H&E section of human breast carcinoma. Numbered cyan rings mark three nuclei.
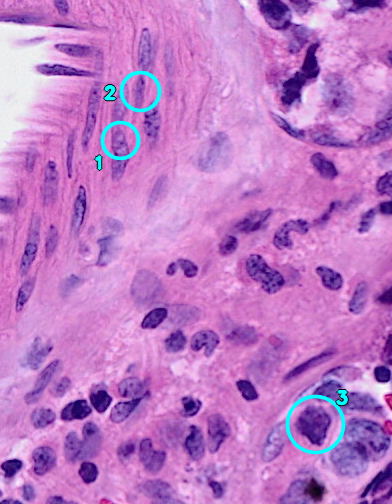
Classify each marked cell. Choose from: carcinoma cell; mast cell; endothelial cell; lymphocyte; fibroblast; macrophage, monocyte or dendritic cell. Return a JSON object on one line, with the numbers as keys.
{"1": "endothelial cell", "2": "endothelial cell", "3": "carcinoma cell"}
